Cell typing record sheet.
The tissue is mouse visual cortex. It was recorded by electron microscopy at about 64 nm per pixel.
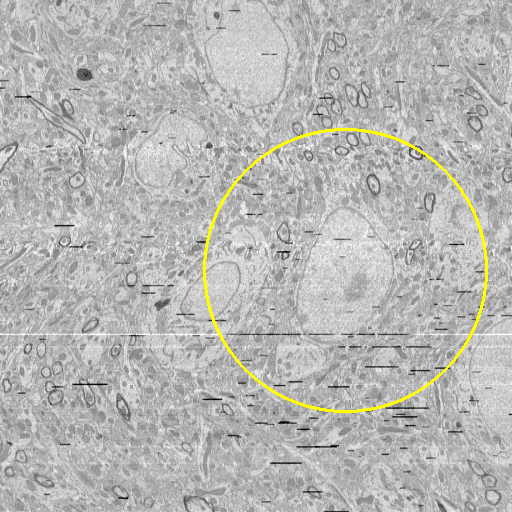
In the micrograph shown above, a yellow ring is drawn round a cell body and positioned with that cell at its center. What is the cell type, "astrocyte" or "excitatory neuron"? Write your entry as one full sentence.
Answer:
The cell body at the center of the ring belongs to an astrocyte.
